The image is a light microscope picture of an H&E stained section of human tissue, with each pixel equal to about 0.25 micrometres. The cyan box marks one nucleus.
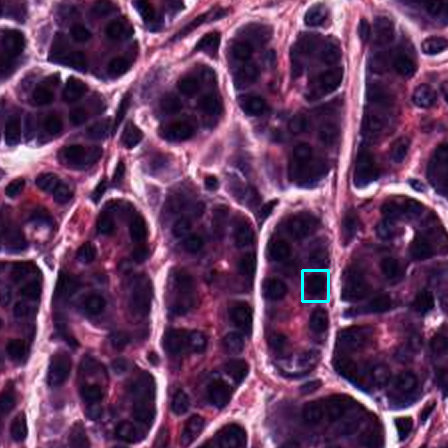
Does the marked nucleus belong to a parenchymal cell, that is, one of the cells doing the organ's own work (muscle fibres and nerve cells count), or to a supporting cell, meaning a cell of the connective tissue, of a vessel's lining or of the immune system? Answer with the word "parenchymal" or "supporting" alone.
parenchymal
